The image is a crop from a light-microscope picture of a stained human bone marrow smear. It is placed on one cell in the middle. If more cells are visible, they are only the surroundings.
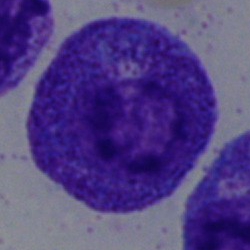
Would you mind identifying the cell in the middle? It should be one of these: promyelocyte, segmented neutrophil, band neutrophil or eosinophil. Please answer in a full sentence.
Answering briefly, the cell in the middle is a promyelocyte.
